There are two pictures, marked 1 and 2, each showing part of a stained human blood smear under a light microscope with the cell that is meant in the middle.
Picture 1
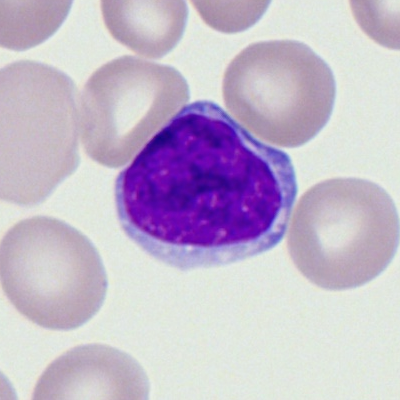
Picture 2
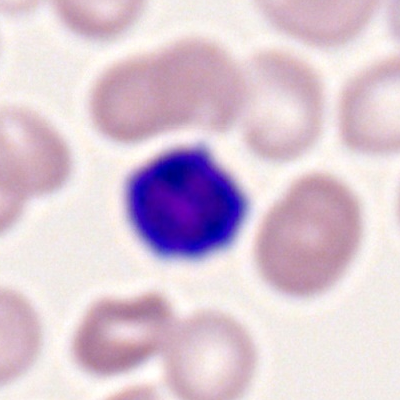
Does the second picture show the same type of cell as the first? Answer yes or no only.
yes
